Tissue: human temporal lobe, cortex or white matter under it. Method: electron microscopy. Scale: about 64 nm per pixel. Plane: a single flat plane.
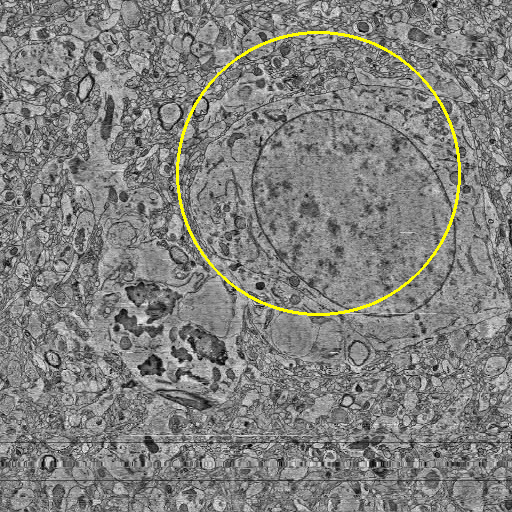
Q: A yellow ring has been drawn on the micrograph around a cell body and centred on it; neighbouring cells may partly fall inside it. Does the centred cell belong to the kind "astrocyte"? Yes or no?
No, it belongs to another kind.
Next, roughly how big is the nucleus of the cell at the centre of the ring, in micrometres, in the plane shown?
Roughly 15 by 11 micrometres in this plane, for the nucleus of the ringed cell.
